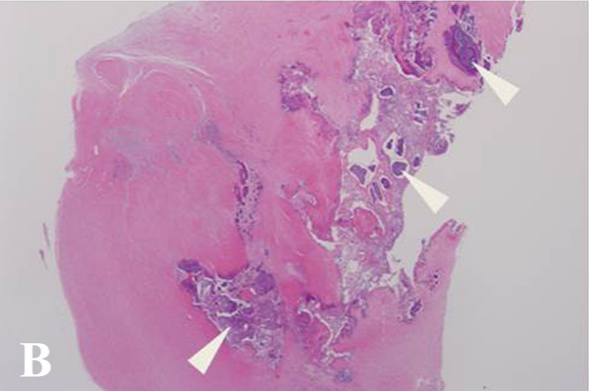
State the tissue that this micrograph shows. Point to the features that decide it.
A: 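Dense, pale pink, sparsely cellular tissue makes up most of the section. The pink tissue encloses the purple deposits. So: fibrous connective tissue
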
